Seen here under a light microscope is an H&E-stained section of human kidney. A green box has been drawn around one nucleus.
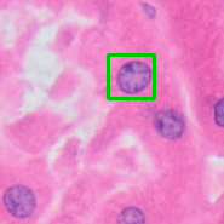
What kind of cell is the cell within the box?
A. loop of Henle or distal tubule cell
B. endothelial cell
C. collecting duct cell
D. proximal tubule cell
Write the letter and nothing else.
D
